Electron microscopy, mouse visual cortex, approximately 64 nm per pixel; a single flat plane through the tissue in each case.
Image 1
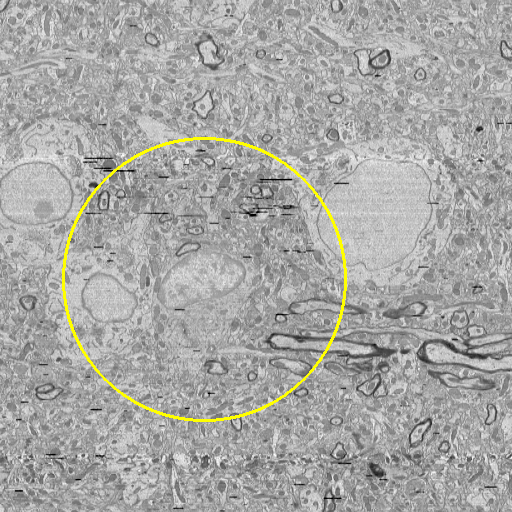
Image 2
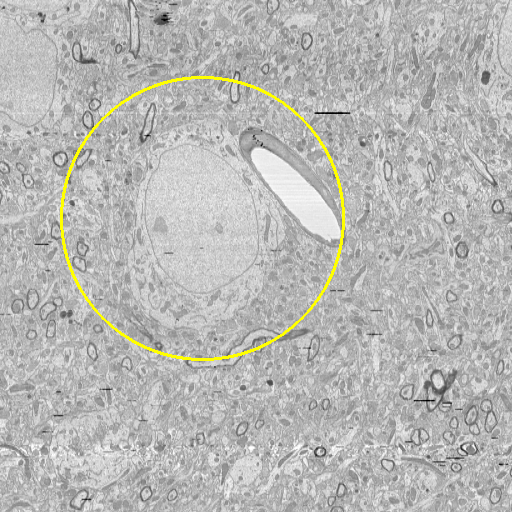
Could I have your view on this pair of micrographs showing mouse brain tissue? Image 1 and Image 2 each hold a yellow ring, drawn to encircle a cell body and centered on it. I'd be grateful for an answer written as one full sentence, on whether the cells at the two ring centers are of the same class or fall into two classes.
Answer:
The cells at the centers of the two rings fall into two classes.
